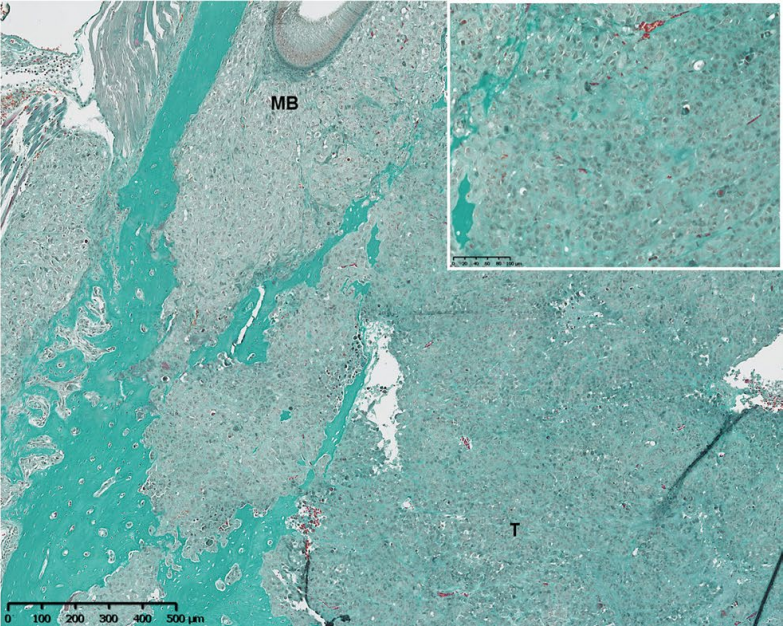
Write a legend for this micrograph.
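Bone invaded by a densely cellular tumor. Broad bands and trabeculae of bright green bone run diagonally on the left, with lacunae and marrow spaces; tumor tissue fills the spaces between them and extends across the right of the field as a continuous sheet. The tumor cells are closely packed, polygonal to rounded, with dark, irregular nuclei and pale grey-green cytoplasm. At higher magnification in the inset, thin wisps of green-staining matrix lie between the cells. Scattered small red-stained vessels and erythrocytes are present, and a few small clefts and spaces interrupt the sheet. Dark fold lines cross the section.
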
